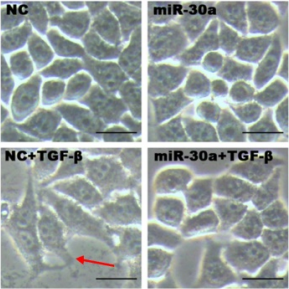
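In one field the sheet is looser and some cells are drawn out and elongated, with a red arrow pointing at such a cell. The other fields keep the compact polygonal arrangement.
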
